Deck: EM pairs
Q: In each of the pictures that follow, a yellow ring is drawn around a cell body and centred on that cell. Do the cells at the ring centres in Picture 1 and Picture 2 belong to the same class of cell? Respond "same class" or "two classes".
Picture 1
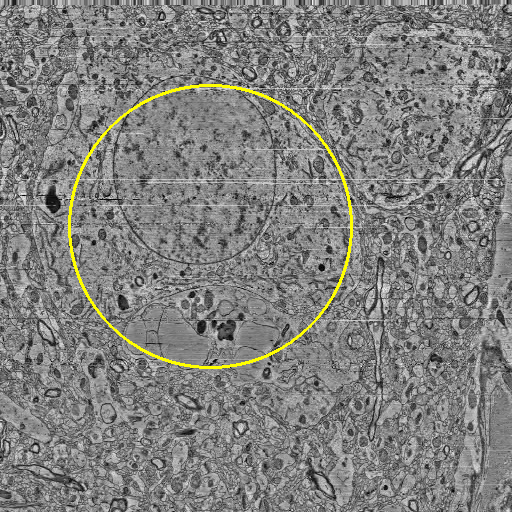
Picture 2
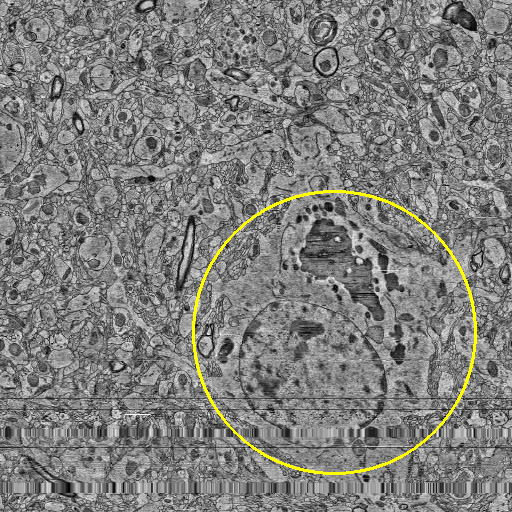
two classes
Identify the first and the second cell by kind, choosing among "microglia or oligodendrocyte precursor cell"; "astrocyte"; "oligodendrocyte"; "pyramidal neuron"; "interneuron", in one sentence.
The one in the first picture is a pyramidal neuron, while the one in the second is an astrocyte.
